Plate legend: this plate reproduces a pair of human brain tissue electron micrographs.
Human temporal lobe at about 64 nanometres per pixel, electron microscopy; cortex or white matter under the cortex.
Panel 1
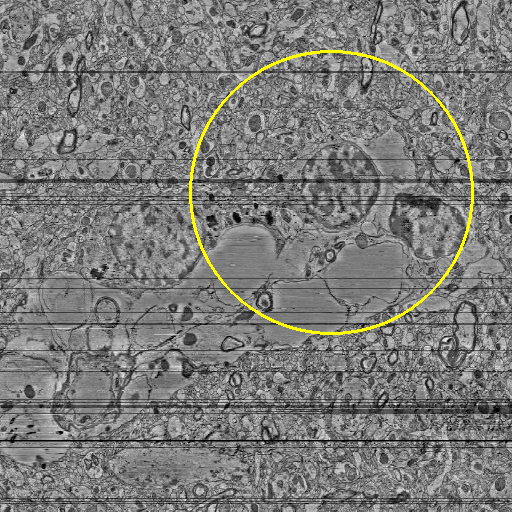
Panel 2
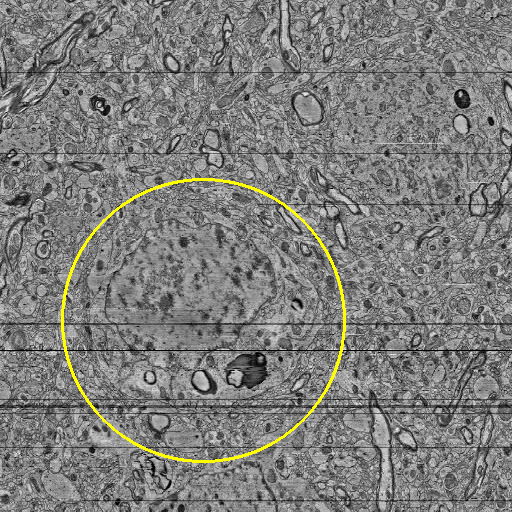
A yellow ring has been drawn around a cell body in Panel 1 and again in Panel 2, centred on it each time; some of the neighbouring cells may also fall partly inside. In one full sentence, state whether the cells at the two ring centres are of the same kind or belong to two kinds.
The ring-centred cells of Panel 1 and Panel 2 belong to two kinds.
